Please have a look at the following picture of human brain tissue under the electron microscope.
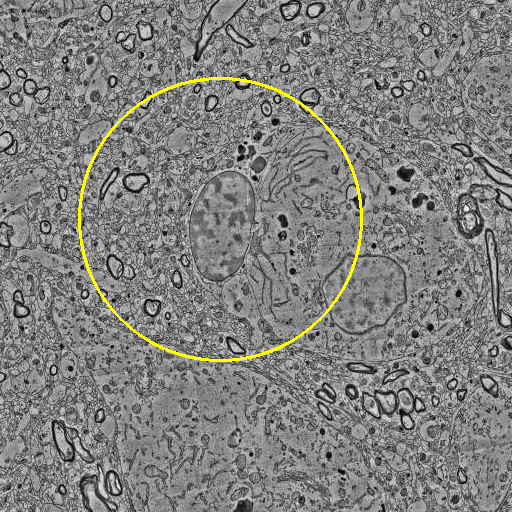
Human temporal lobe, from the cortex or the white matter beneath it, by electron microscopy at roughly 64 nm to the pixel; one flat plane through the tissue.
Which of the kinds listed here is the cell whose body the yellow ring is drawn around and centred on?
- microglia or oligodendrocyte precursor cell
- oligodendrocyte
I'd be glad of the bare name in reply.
microglia or oligodendrocyte precursor cell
